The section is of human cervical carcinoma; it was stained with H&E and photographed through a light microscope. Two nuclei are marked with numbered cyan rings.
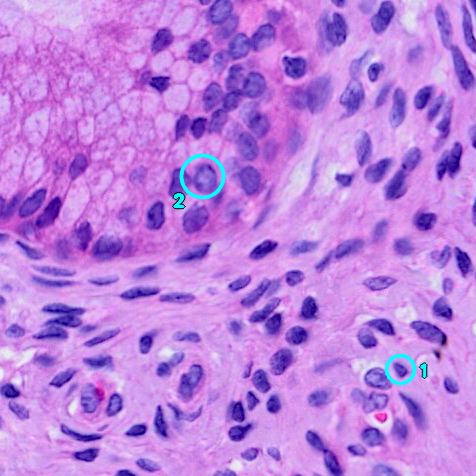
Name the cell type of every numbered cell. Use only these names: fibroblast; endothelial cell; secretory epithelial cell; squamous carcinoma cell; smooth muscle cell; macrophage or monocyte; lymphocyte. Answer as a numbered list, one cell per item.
1. fibroblast
2. secretory epithelial cell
